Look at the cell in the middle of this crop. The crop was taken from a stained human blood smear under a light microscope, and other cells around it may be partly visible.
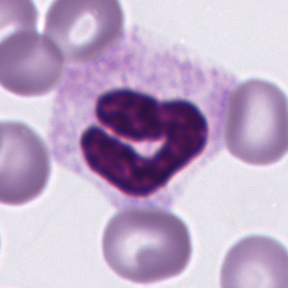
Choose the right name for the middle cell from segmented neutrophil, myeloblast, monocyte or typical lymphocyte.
segmented neutrophil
